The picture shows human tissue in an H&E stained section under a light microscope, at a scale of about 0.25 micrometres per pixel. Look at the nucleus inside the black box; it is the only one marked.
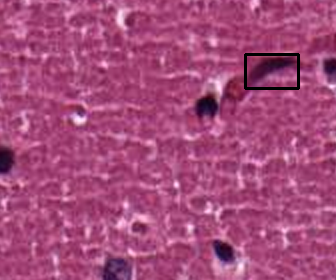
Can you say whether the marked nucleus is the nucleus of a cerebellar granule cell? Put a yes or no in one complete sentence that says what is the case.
No, the marked nucleus is part of a supporting cell and does not belong to a cerebellar granule cell.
